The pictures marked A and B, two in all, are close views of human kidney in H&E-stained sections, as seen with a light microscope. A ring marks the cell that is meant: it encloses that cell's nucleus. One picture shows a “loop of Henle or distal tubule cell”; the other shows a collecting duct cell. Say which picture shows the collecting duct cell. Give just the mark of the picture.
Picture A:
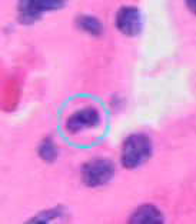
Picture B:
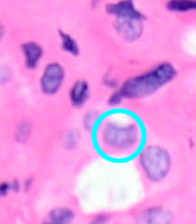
B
